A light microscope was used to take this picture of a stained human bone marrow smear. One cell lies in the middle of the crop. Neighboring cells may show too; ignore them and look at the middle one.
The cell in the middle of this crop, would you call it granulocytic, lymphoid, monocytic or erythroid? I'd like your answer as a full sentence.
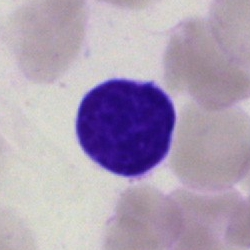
From the lymphoid lineage comes the cell in the middle of the crop.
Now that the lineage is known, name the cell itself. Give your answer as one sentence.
The cell at the heart of this crop is a lymphocyte.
